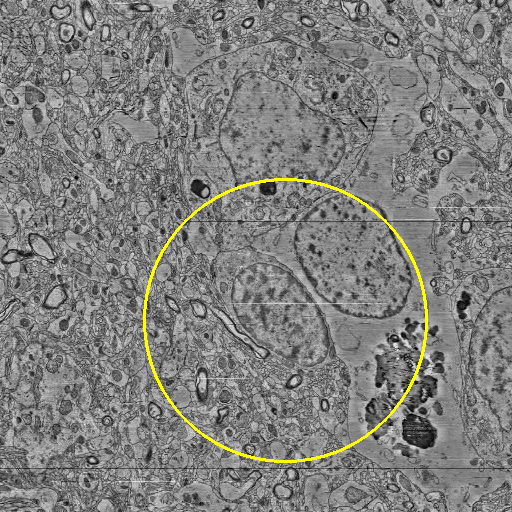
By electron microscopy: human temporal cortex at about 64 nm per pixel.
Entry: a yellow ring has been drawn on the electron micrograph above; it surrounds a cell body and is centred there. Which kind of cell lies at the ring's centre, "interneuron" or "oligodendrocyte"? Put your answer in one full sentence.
The cell sitting at the ring's centre is an oligodendrocyte in the micrograph above.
